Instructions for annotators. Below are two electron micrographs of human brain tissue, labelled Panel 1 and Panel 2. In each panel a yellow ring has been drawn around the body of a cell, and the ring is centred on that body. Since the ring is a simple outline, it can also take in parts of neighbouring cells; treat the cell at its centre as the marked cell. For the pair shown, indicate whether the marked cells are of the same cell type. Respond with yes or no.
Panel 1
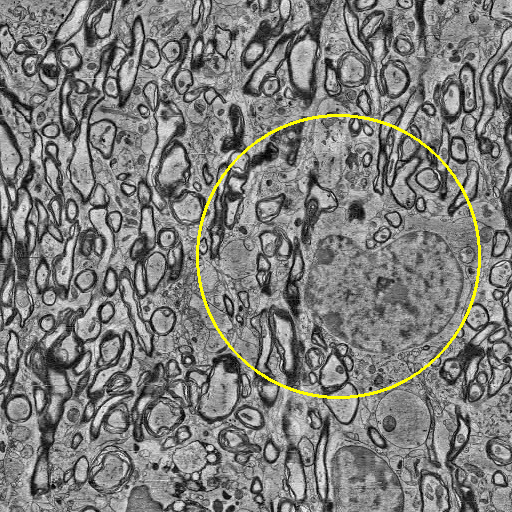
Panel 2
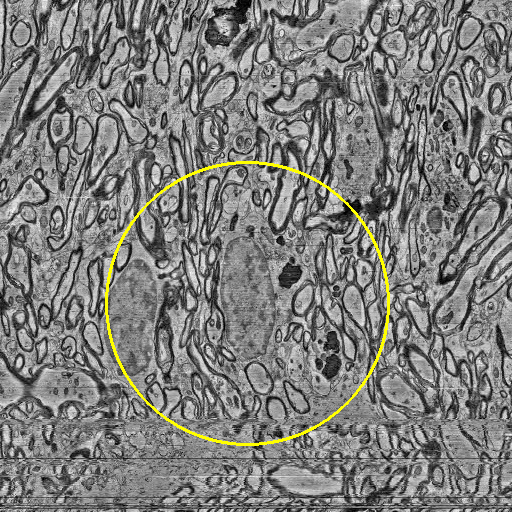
no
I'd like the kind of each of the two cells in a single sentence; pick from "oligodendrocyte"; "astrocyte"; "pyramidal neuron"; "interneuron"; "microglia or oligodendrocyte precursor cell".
The first ring marks a microglial cell or oligodendrocyte precursor cell, and the second ring marks an oligodendrocyte.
